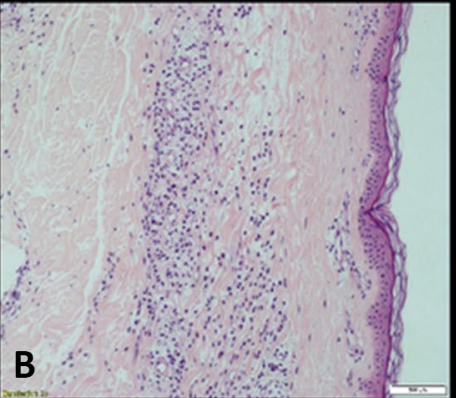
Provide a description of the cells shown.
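Skin in cross-section shows a thin epidermis along the right edge, with a layered row of keratinocytes covered by a thin layer of keratin, and a broad dermis of pink collagen to its left. A band of densely packed cells with dark purple nuclei runs vertically through the dermis, parallel to the surface. Between this band and the epidermis lies a strip of dermis nearly free of cells, the Grenz zone. Scattered cells lie elsewhere in the dermis. The epidermis itself appears without obvious change.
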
